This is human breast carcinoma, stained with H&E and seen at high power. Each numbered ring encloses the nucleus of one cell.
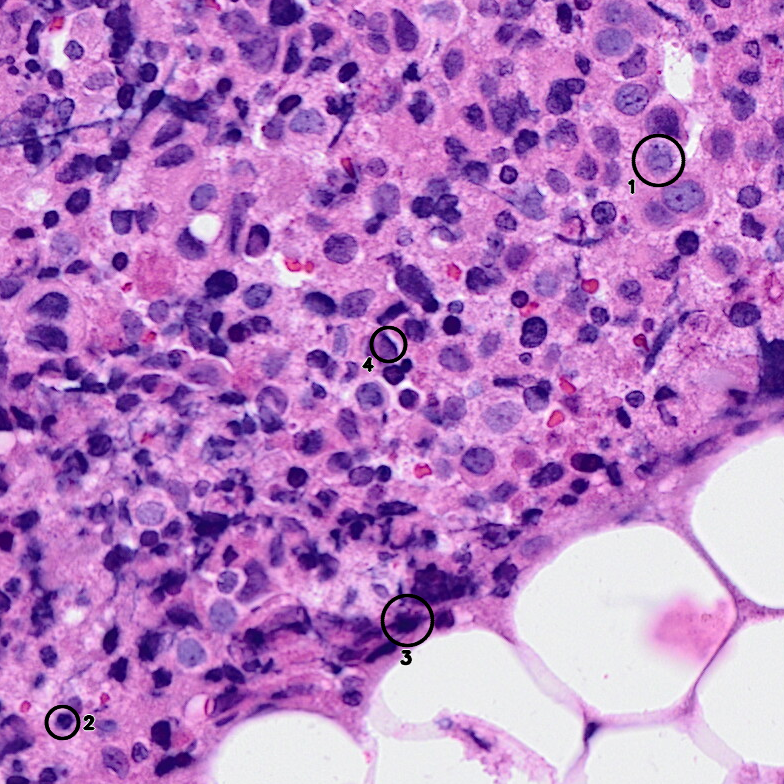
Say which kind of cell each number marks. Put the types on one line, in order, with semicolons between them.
carcinoma cell; lymphocyte; carcinoma cell; carcinoma cell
